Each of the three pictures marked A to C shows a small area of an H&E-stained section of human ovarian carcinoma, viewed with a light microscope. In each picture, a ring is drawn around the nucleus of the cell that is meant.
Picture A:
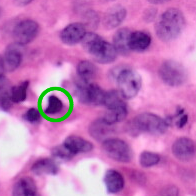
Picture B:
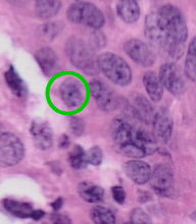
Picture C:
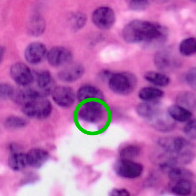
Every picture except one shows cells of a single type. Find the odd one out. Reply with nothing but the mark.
B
